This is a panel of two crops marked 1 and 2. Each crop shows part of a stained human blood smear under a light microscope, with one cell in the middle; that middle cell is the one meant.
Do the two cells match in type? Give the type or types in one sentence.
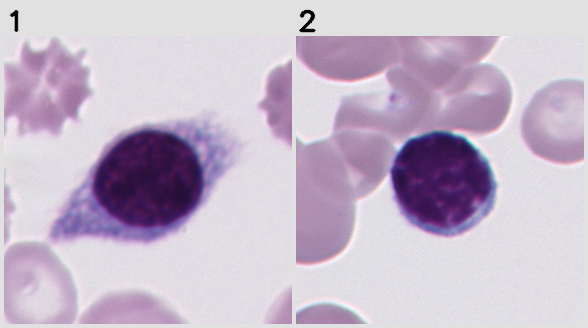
No, crop 1 shows a hairy cell, and the cell in crop 2 is a typical lymphocyte.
